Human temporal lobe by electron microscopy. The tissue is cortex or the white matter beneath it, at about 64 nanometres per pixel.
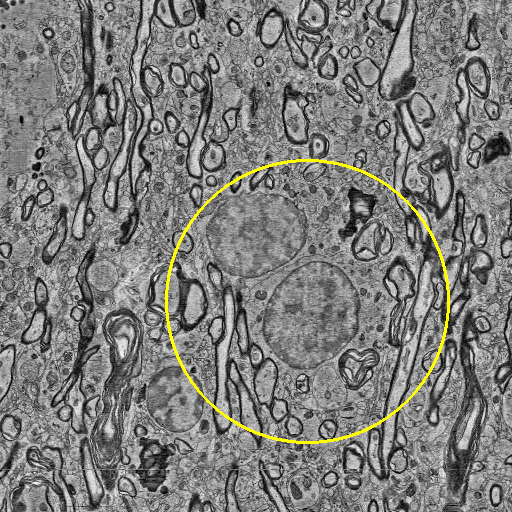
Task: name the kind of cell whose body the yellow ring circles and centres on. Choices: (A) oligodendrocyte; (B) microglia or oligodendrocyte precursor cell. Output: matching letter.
A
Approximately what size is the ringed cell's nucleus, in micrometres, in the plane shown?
In this plane the nucleus is about 7 micrometres by 6.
